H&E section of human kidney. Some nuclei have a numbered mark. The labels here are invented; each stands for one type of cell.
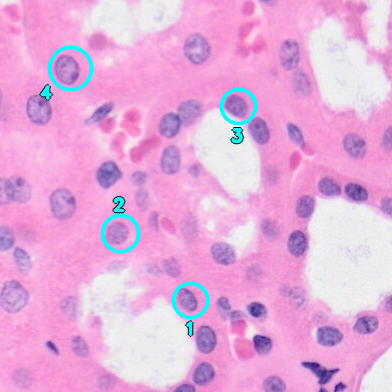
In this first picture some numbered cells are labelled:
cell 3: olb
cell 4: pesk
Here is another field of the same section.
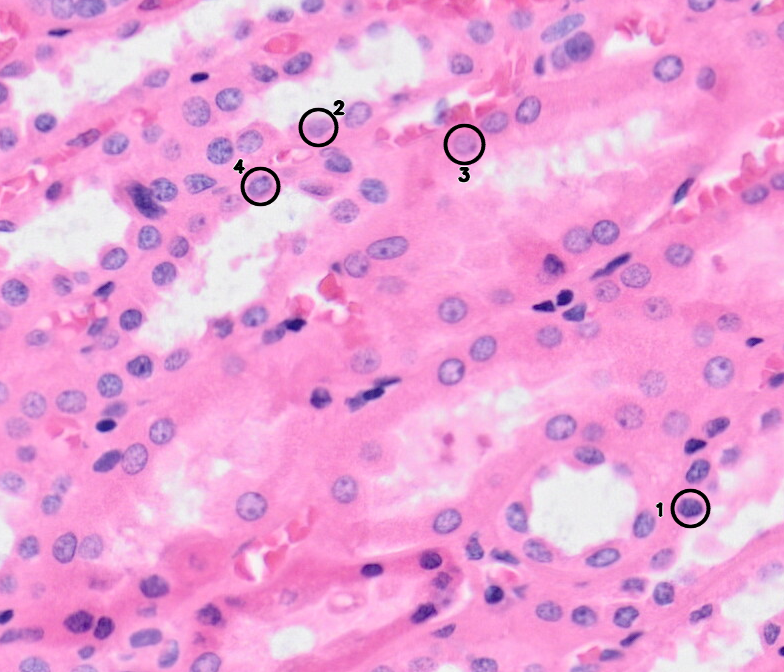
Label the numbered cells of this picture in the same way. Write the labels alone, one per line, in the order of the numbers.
olb
olb
pesk
olb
